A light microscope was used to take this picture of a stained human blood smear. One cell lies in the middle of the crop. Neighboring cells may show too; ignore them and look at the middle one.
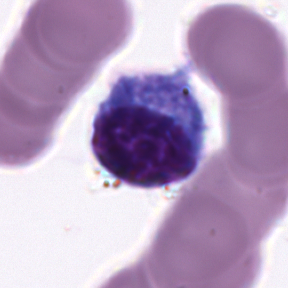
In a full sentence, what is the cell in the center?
The cell at the heart of this crop is a plasma cell.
